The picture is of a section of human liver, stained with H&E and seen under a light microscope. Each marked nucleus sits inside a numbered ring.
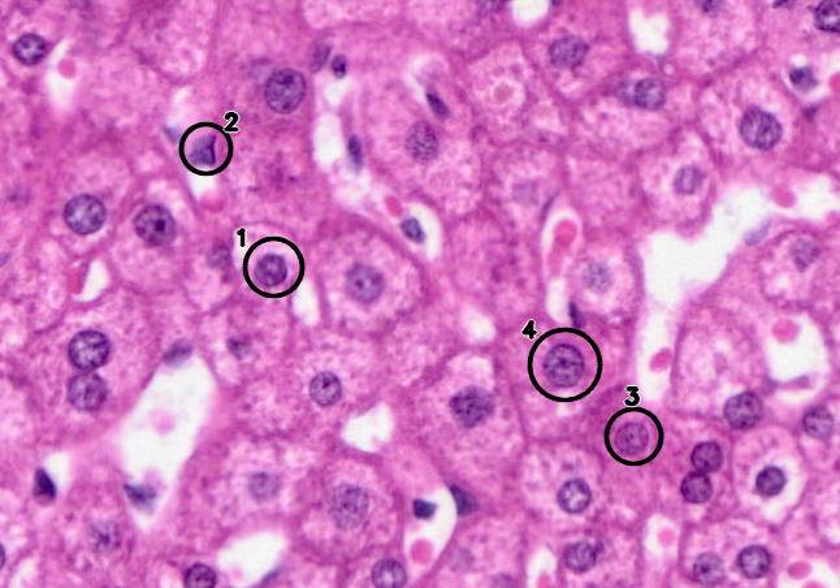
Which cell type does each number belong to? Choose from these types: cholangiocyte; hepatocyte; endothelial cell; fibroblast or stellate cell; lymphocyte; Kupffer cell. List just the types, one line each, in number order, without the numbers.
hepatocyte
endothelial cell
hepatocyte
hepatocyte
